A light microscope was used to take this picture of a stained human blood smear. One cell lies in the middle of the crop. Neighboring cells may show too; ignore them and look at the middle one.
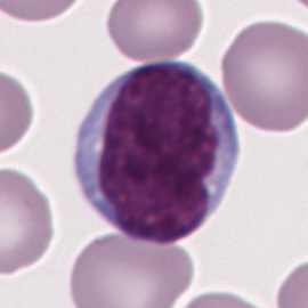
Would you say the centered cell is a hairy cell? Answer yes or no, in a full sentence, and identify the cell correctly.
No, the correct answer for the middle cell is a typical lymphocyte, not a hairy cell.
